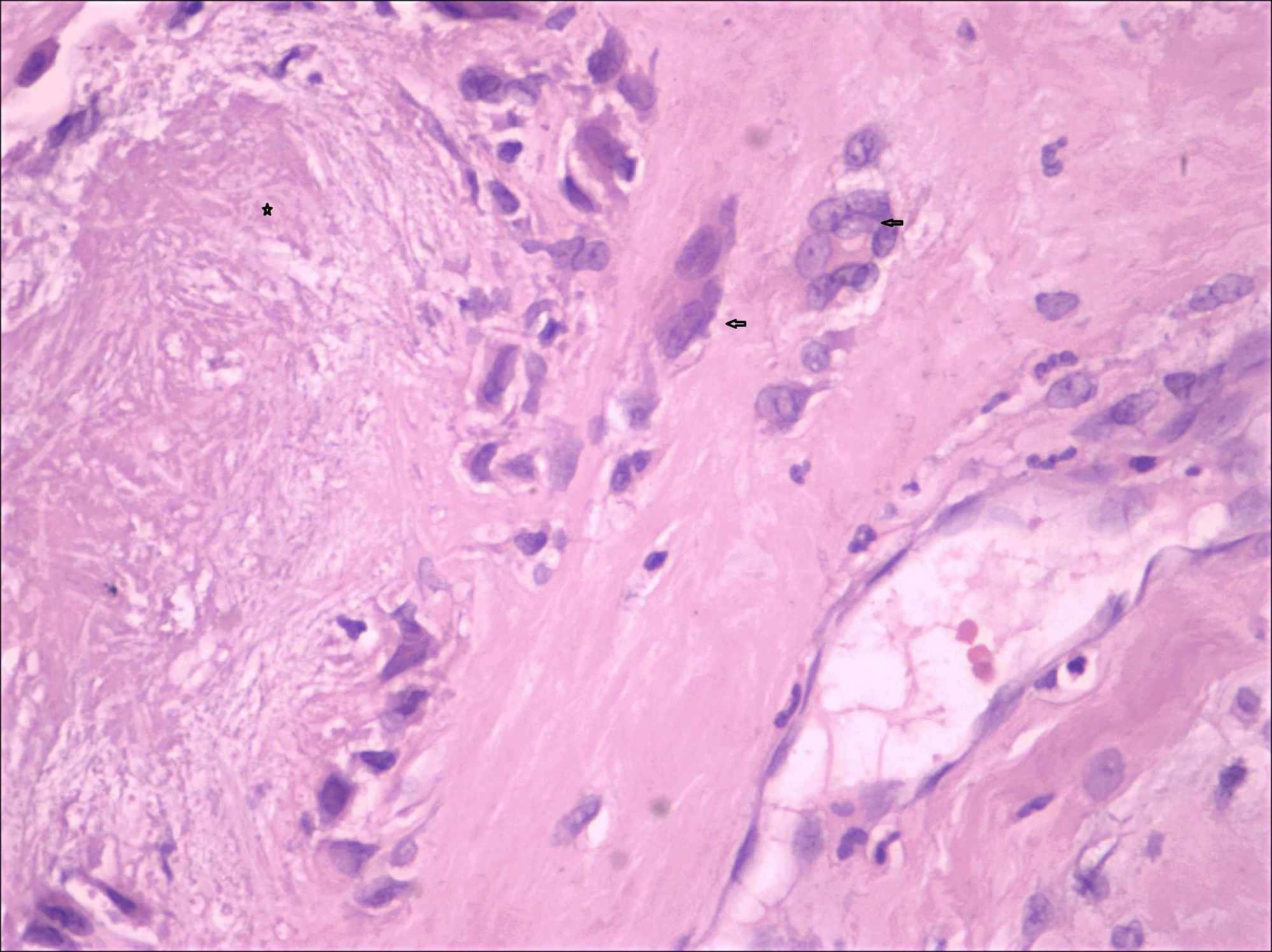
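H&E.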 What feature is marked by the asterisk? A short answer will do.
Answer: crystalline deposits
